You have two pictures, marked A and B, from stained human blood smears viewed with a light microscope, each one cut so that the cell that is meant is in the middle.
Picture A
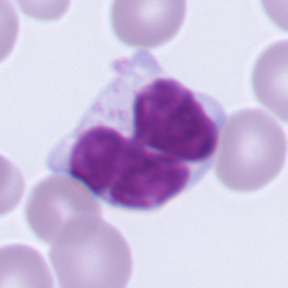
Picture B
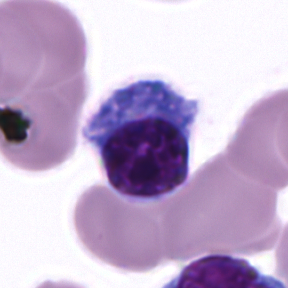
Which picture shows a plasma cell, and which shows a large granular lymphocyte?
A: large granular lymphocyte
B: plasma cell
